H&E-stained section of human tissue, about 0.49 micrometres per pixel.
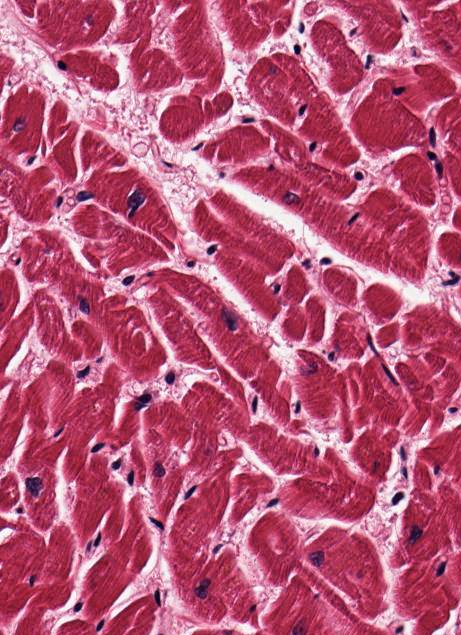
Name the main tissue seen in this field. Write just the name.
myocardium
